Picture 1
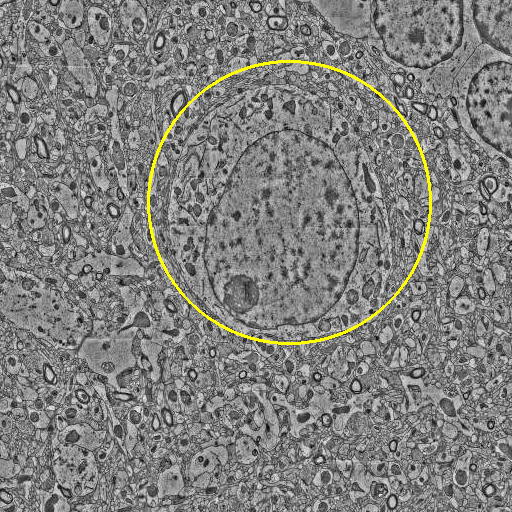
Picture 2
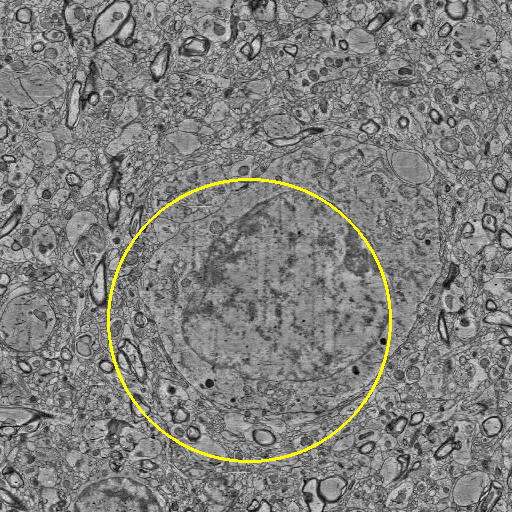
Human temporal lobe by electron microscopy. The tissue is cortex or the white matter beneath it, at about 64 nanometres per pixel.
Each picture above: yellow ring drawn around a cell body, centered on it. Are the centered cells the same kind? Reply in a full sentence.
Yes, the two cells are the same kind.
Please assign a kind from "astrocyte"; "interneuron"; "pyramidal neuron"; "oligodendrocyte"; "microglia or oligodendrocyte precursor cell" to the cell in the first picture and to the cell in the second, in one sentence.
Each of the two rings surrounds an interneuron.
